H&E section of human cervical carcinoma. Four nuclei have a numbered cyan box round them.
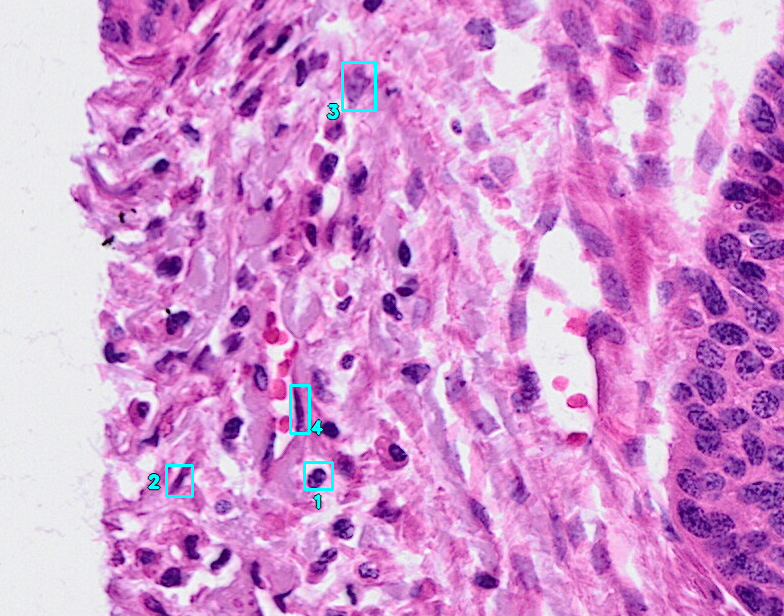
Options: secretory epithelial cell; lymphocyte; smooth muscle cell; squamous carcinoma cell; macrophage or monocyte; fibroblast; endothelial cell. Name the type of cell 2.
fibroblast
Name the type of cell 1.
lymphocyte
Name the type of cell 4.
endothelial cell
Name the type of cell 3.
fibroblast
